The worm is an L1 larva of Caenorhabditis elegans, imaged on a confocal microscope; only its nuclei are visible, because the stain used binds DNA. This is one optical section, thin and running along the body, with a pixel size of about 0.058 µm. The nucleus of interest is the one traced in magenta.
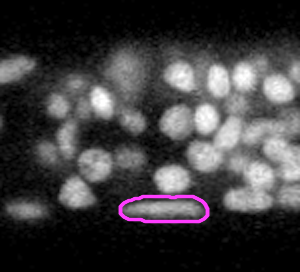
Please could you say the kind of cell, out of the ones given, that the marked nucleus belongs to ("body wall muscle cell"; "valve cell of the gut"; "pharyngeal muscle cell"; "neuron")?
body wall muscle cell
